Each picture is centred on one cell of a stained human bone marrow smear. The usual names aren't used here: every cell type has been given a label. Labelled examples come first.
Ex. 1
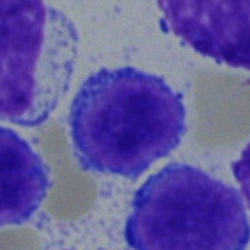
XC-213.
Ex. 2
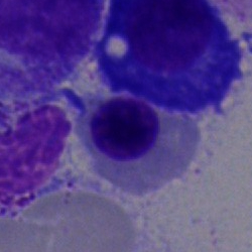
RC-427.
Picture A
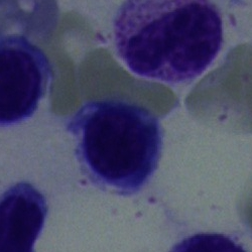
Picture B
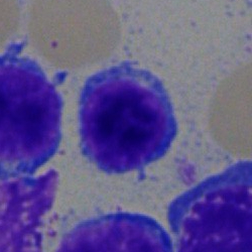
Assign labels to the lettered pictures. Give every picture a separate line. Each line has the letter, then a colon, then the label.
A: XC-213.
B: XC-213.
